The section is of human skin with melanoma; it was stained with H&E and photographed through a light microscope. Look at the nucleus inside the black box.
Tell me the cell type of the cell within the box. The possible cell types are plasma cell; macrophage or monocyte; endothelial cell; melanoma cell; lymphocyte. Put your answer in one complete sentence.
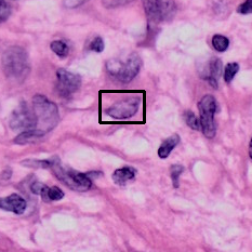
Microscopically, the cell within the box is categorized as an endothelial cell.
